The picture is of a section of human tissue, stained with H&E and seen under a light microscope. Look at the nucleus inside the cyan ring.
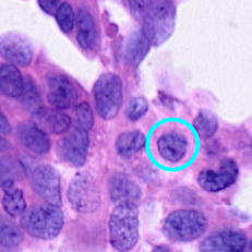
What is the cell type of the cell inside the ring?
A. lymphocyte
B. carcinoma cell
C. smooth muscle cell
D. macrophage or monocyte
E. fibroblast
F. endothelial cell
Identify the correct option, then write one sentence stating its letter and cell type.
Answer with option D; the cell inside the ring is a macrophage or monocyte.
